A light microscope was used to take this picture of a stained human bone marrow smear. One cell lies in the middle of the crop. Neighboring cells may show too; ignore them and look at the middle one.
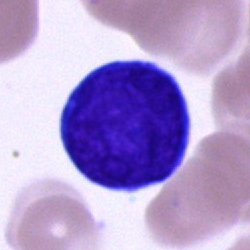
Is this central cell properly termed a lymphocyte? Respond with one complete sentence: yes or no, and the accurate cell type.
No, the cell in the middle of the field is a blast, not a lymphocyte as suggested.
